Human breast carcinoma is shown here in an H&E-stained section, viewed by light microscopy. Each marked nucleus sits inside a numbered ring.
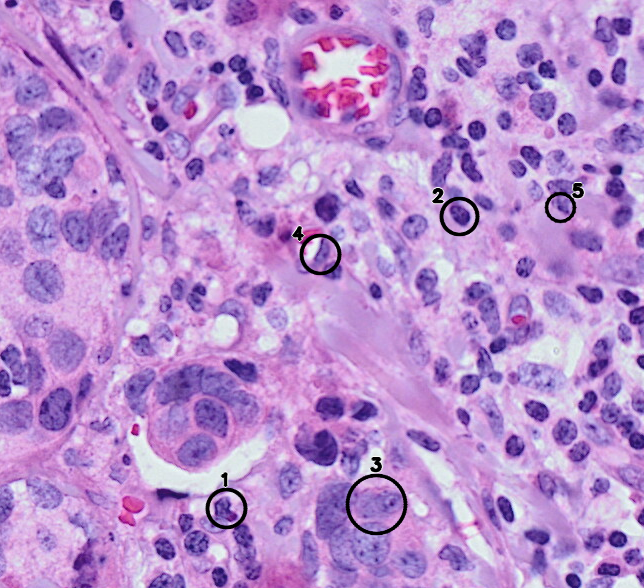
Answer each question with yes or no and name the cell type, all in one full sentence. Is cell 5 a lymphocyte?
Yes, the cell that is numbered 5 is a lymphocyte.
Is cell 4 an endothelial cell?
Yes, an endothelial cell is what the cell numbered 4 is.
